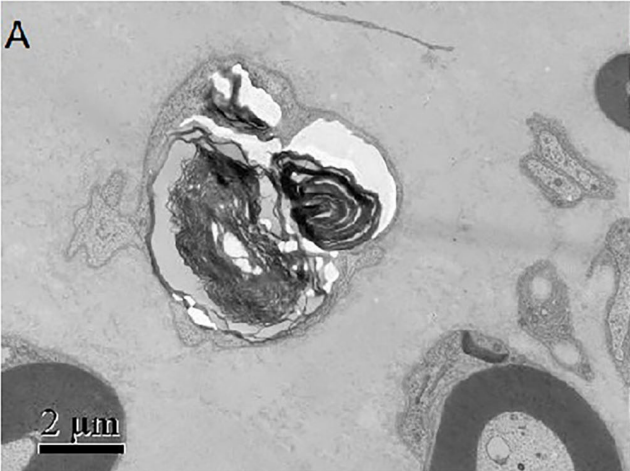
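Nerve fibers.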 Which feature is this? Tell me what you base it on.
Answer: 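Myelin remnants. Dark, irregularly folded and layered lamellae lie clustered in the centre of a rounded profile. The lamellae are broken up, with pale clefts between them, rather than forming one compact ring. A thin rim of cytoplasm encloses the lamellar mass.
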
